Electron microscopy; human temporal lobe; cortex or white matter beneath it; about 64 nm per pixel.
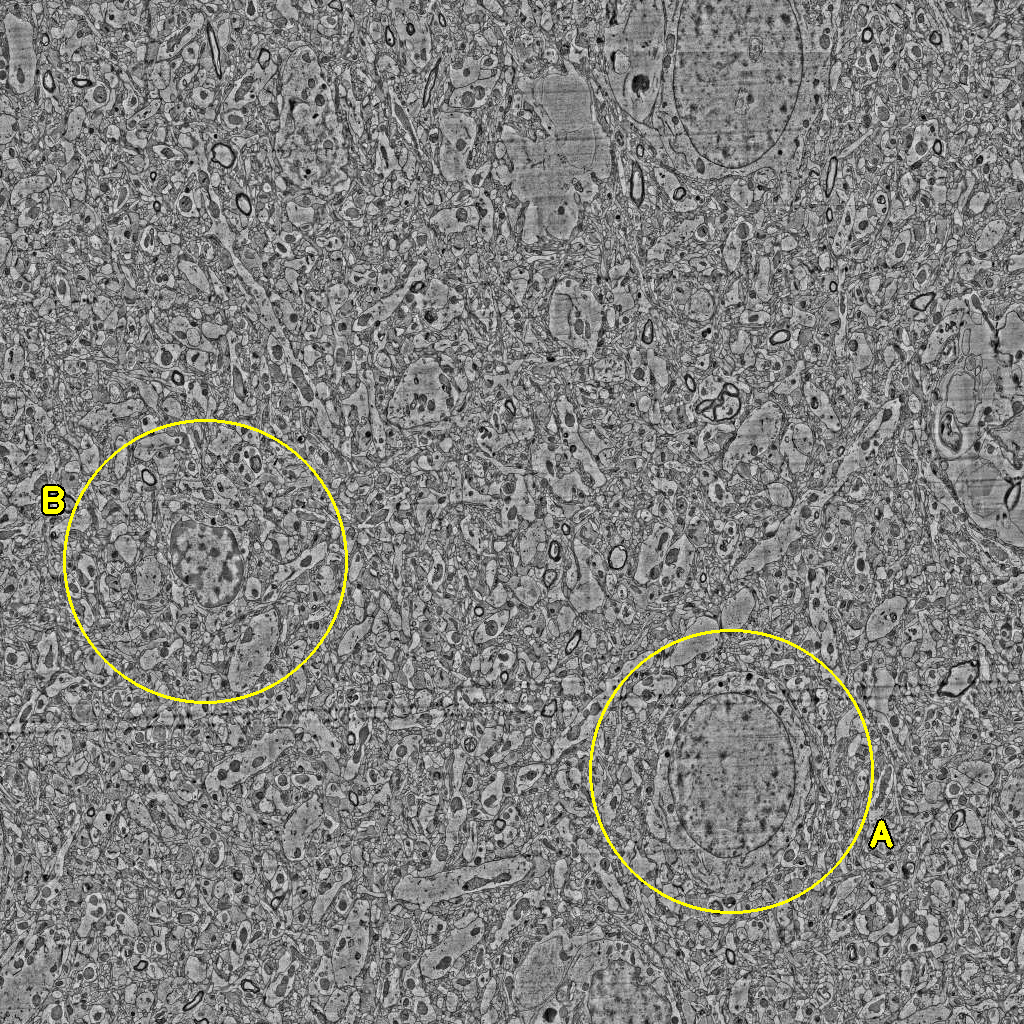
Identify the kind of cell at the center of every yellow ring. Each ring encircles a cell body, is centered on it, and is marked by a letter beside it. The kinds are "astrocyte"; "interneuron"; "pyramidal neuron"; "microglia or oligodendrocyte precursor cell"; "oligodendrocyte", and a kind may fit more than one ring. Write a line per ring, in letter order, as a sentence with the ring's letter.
The cell centered in ring A is a pyramidal neuron.
The cell centered in ring B is a microglial cell or oligodendrocyte precursor cell.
